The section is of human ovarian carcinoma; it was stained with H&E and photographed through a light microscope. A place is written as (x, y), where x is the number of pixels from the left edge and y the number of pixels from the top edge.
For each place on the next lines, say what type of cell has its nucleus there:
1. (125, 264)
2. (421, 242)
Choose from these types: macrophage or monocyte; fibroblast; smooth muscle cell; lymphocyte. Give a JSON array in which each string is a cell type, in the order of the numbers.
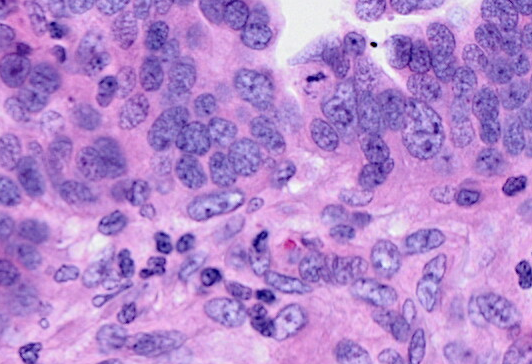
["lymphocyte", "fibroblast"]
